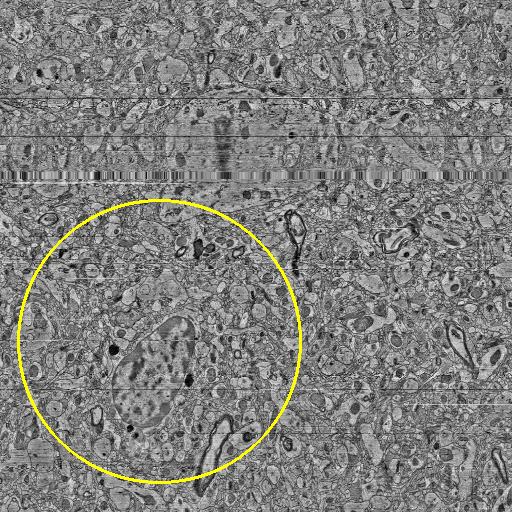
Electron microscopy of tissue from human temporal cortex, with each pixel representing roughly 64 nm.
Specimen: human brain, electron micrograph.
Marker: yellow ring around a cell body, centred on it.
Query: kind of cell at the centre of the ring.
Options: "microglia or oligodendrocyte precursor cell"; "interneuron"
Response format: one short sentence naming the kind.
This cell body belongs to a microglial cell or oligodendrocyte precursor cell.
